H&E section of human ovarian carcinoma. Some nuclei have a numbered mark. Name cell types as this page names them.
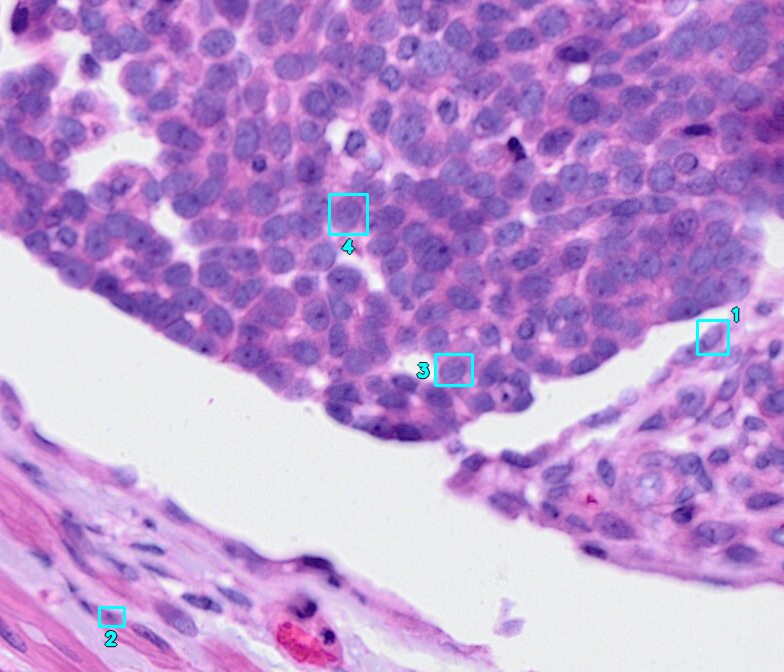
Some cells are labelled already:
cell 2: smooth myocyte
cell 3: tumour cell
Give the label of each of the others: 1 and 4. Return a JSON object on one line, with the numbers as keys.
{"1": "tumour cell", "4": "tumour cell"}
